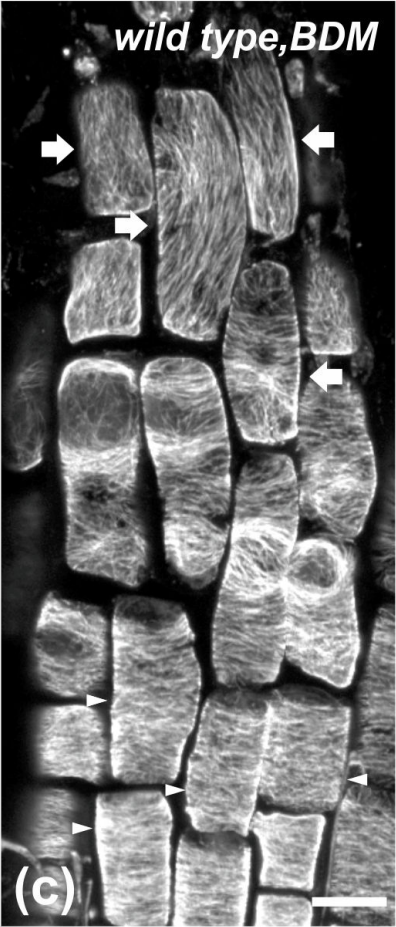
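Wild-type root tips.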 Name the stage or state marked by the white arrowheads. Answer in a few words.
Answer: Transverse.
